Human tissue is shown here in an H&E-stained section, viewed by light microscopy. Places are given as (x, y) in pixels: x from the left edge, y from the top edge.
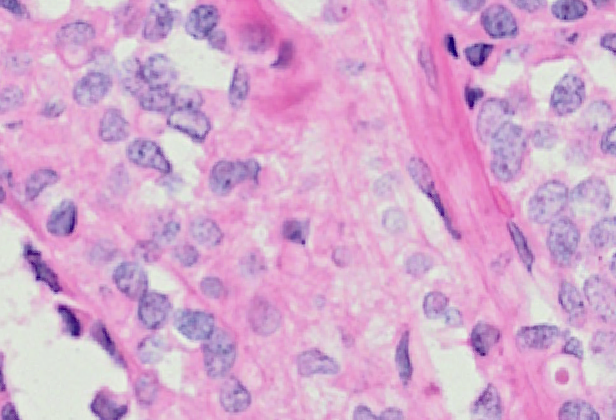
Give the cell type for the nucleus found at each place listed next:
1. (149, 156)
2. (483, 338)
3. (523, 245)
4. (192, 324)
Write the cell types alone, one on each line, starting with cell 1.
carcinoma cell
carcinoma cell
endothelial cell
carcinoma cell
